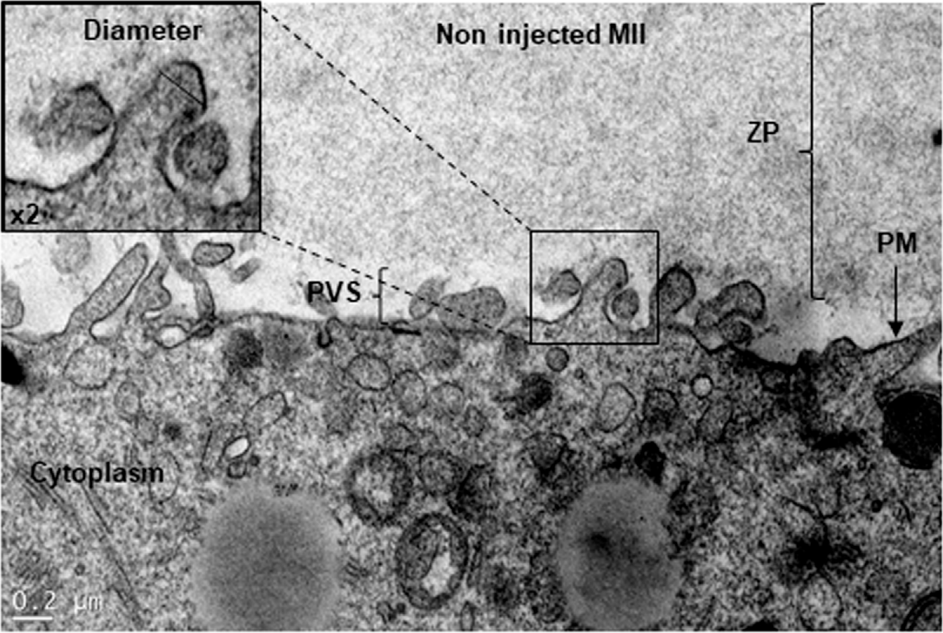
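This is the edge of an egg cell seen by transmission electron microscopy. Across the top lies a thick, finely fibrous grey coat. Beneath it is a narrow pale gap into which the cell's surface membrane throws up many short finger-like projections; cut obliquely or across, several appear as round membrane-bound profiles, enlarged in the inset. Below the surface membrane the cytoplasm is finely granular and holds numerous round membrane-bound organelles with internal structure, a few dark dense bodies, and two large, homogeneous grey round bodies without a bounding pattern.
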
